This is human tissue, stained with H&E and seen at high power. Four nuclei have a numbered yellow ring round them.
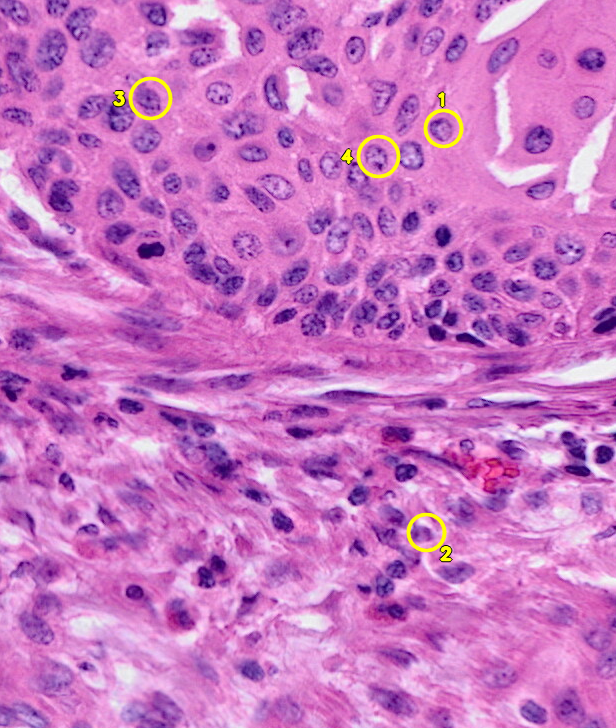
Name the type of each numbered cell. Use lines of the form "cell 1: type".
cell 1: squamous carcinoma cell
cell 2: fibroblast
cell 3: squamous carcinoma cell
cell 4: squamous carcinoma cell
